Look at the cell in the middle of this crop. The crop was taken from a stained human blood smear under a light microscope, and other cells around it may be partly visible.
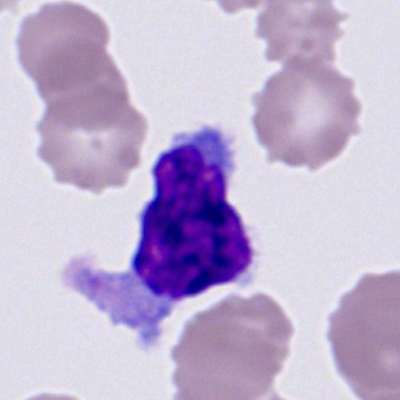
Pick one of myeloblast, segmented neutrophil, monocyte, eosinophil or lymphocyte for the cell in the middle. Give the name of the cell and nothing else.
lymphocyte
